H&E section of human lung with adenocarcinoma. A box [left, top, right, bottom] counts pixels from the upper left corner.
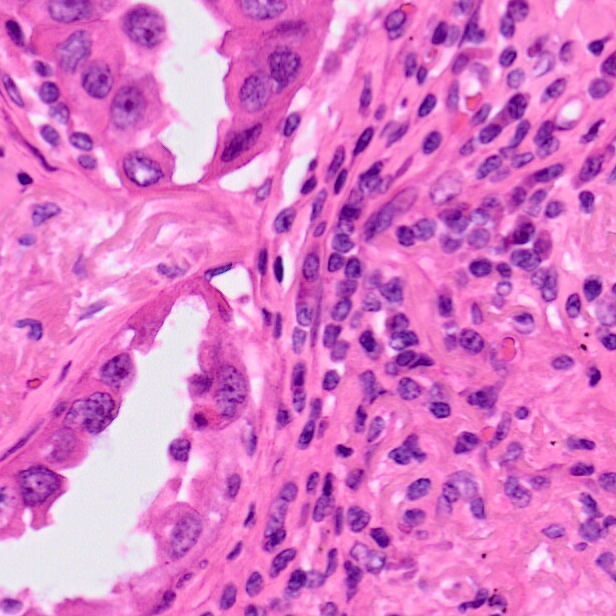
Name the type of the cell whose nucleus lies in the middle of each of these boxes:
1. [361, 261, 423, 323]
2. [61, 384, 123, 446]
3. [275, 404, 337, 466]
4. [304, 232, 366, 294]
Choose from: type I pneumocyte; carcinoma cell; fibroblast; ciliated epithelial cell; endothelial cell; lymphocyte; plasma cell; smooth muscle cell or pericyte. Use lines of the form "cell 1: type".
cell 1: lymphocyte
cell 2: carcinoma cell
cell 3: lymphocyte
cell 4: lymphocyte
